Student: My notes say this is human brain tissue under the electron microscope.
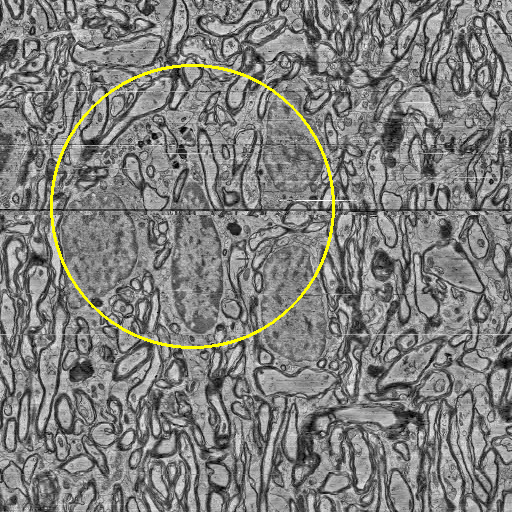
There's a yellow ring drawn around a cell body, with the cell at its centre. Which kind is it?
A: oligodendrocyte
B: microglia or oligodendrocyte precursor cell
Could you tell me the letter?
B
